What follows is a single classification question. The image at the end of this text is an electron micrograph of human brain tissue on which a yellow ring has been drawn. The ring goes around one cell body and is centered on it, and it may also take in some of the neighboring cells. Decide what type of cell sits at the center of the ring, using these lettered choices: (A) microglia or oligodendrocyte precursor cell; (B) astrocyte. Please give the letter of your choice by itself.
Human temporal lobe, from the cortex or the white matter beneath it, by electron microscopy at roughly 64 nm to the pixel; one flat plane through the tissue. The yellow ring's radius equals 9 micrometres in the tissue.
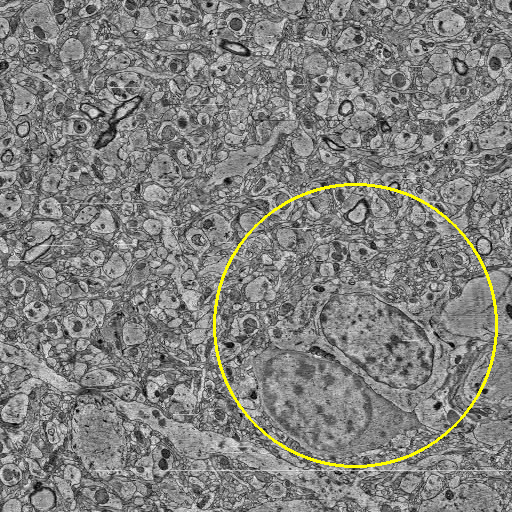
A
